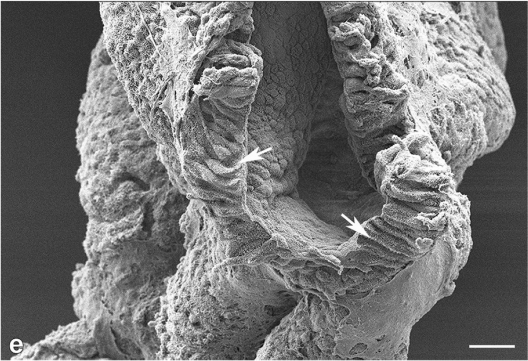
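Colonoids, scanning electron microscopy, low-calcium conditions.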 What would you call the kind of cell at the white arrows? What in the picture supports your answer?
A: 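The arrows point to the wall lining an opening into the structure. The wall shows closely packed, elongated units standing side by side in a row. So: columnar epithelial cells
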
